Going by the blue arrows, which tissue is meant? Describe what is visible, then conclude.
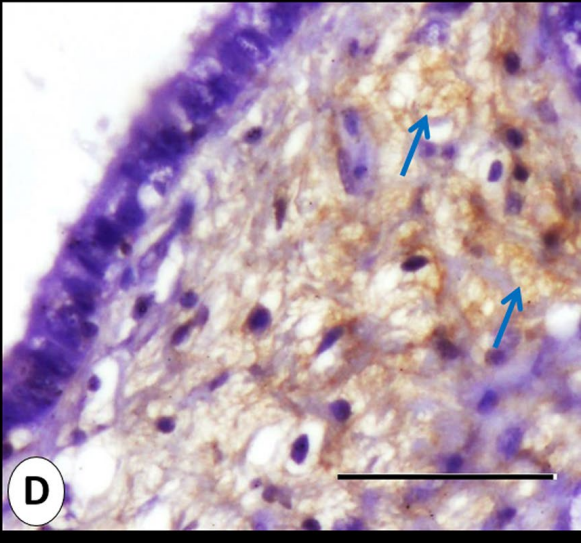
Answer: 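Loose connective tissue lies beneath a columnar epithelial lining. The arrows point at a fine brown fibrillar meshwork between scattered nuclei.
Hence: Interstitium.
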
